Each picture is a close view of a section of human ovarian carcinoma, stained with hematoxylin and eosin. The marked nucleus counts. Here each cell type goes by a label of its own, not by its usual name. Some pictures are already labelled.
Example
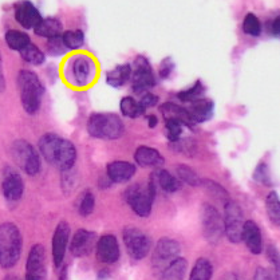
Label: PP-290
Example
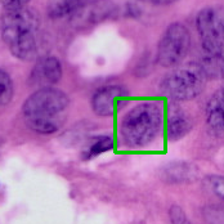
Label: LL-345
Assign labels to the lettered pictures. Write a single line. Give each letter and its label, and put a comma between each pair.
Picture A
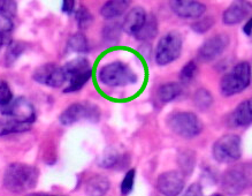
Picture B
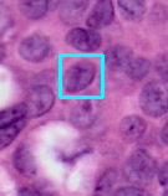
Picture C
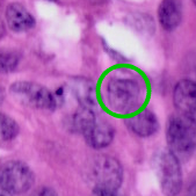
A PP-290, B LL-345, C LL-345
